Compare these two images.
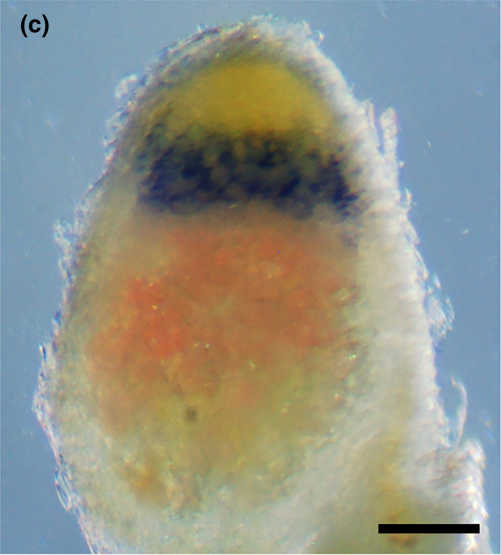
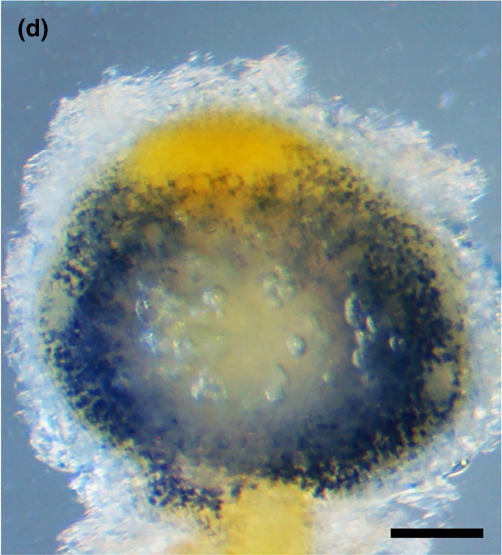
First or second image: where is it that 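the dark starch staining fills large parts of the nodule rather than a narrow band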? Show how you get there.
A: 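Second image: dark blue-purple stain forms a broad ring through most of the nodule below the tip. First image: dark stain is confined to a narrow band below the tip, with pinkish tissue below.
Hence: the second image.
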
